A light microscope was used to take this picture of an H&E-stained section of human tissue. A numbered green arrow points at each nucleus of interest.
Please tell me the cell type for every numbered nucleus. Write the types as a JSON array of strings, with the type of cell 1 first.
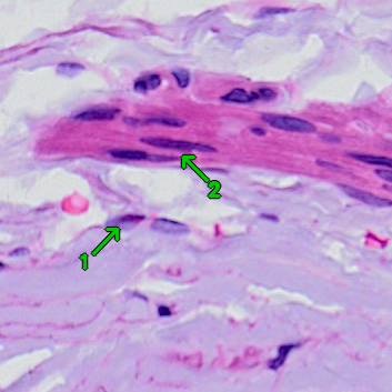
["fibroblast", "smooth muscle cell"]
